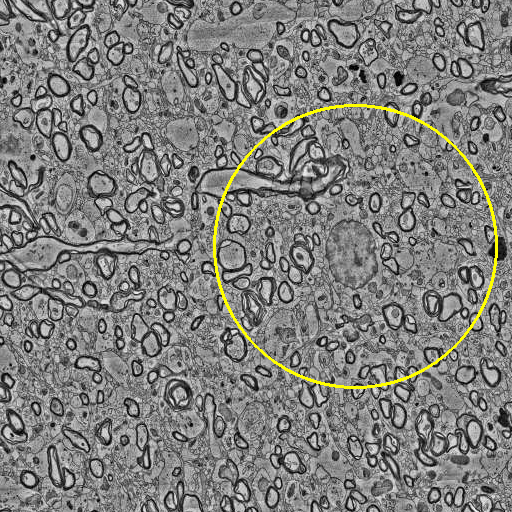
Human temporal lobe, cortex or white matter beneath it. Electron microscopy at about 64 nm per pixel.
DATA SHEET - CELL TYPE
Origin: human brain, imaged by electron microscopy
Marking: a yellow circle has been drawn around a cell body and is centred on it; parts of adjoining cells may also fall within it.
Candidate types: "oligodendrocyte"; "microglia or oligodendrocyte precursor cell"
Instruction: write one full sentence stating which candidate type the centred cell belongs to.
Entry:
The cell body at the centre of the yellow ring in this micrograph belongs to an oligodendrocyte.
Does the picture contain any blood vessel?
No, none shows.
